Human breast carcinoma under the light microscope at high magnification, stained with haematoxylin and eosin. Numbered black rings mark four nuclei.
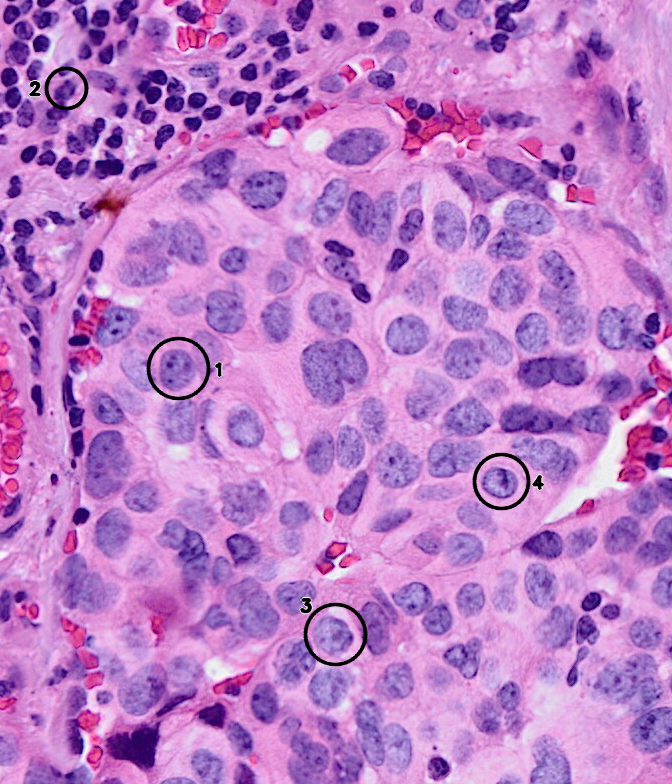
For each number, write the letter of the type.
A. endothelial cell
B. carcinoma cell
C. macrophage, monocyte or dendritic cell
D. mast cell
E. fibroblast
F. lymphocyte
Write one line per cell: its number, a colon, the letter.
1: B
2: F
3: B
4: B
